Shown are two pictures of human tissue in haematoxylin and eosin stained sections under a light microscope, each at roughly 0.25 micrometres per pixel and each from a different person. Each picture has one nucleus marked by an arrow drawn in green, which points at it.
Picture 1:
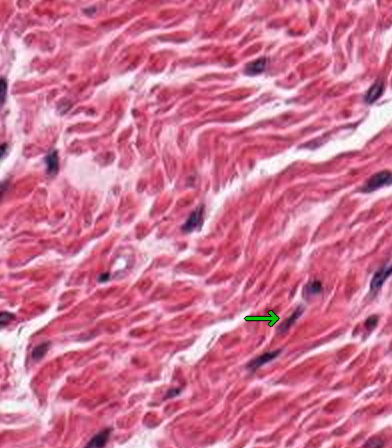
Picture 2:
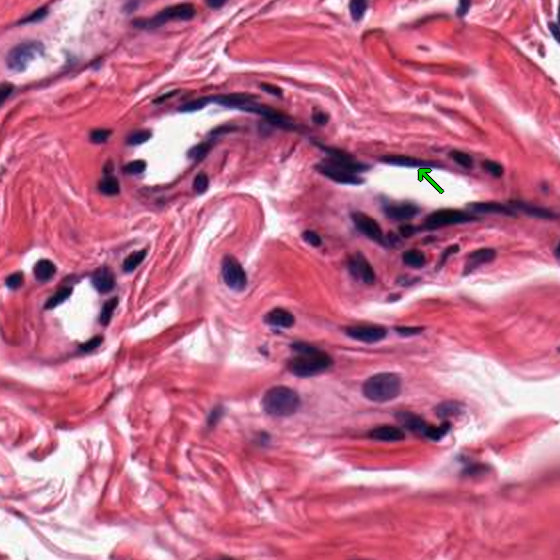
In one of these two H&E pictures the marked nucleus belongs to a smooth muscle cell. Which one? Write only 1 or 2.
1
